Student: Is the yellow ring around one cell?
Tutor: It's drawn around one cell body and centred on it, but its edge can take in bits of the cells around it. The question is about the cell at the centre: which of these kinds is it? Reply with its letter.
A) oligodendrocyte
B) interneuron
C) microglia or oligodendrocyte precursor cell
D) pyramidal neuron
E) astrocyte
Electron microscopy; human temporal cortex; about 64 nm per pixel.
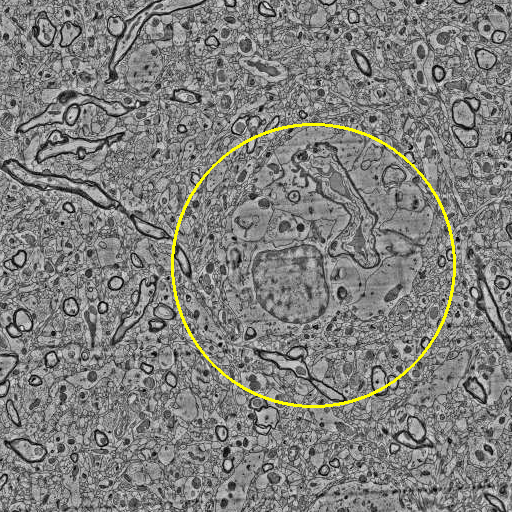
C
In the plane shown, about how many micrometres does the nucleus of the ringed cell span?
The nucleus is about 5 micrometres across in this plane.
